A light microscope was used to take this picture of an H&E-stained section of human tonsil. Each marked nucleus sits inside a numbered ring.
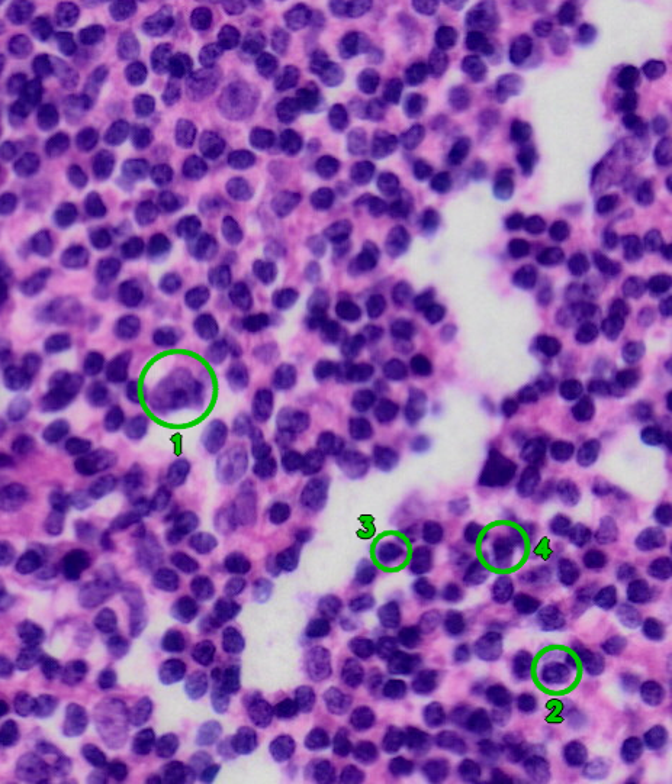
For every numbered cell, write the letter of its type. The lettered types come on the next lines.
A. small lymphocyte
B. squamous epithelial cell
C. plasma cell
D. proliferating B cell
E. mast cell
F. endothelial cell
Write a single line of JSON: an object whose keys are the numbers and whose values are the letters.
{"1": "D", "2": "A", "3": "A", "4": "A"}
